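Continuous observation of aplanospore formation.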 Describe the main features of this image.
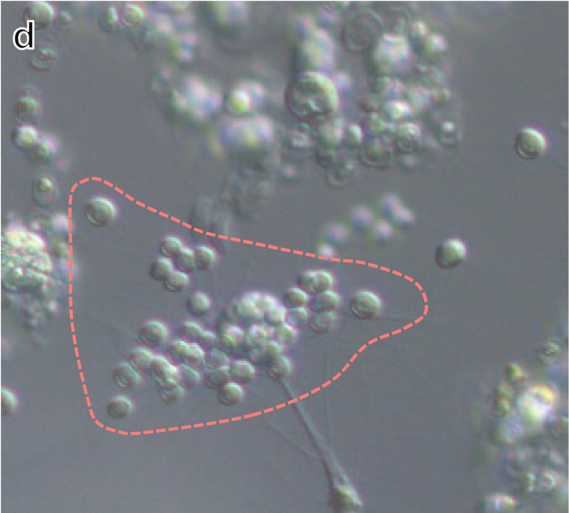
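The spores are round, of fairly uniform size, and each has a bright refractile outline. They lie scattered around a central clump of spores and remnant material rather than being held within one enclosing body. Fine thread-like strands run across the background between the cells. Clusters of other rounded cells and larger sporangia lie at the edges of the field.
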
